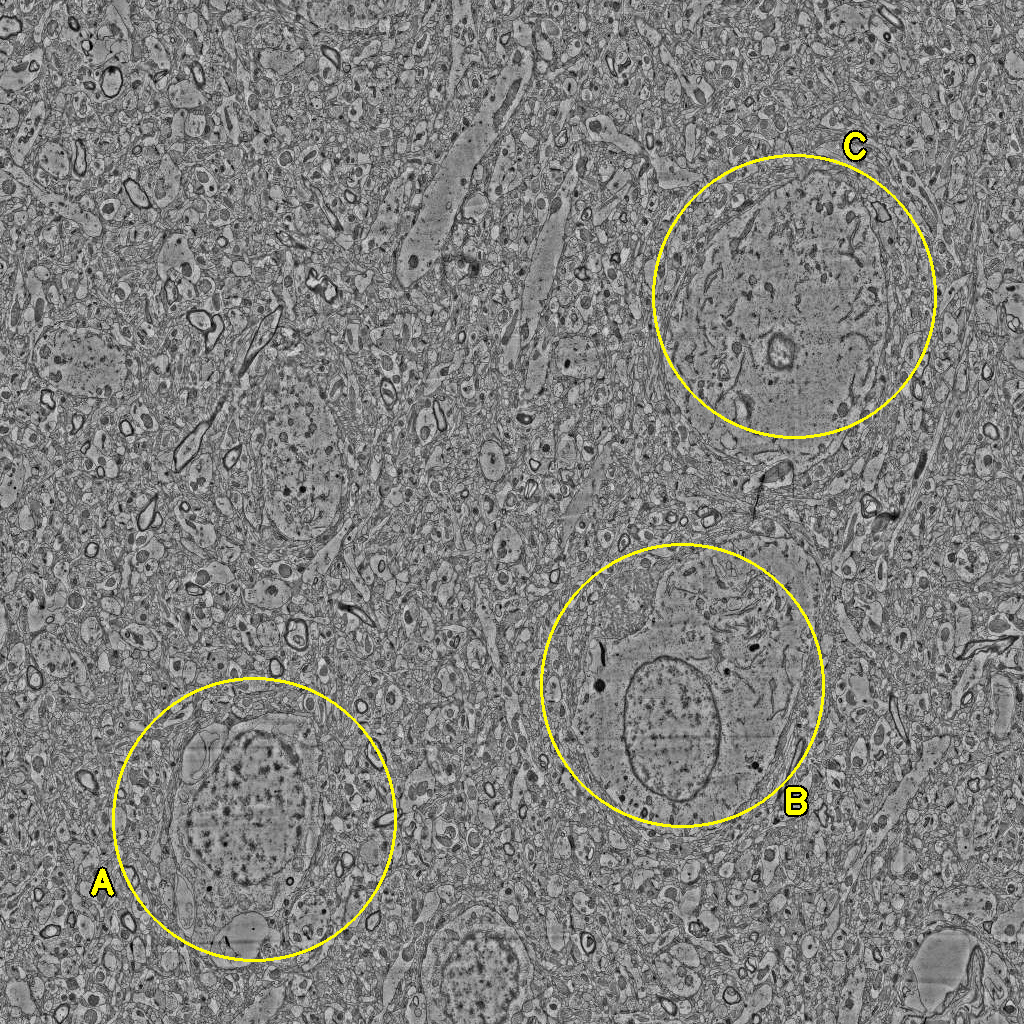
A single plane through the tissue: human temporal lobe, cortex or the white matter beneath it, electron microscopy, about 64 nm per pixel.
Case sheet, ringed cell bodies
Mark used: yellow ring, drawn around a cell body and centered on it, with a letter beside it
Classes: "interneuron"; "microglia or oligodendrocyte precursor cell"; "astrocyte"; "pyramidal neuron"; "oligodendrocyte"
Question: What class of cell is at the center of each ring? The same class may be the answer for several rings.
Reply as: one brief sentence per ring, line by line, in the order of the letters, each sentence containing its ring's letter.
Ring A has an interneuron at its center.
Ring B has a pyramidal neuron at its center.
Ring C has a pyramidal neuron at its center.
